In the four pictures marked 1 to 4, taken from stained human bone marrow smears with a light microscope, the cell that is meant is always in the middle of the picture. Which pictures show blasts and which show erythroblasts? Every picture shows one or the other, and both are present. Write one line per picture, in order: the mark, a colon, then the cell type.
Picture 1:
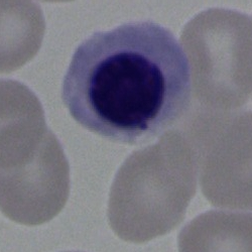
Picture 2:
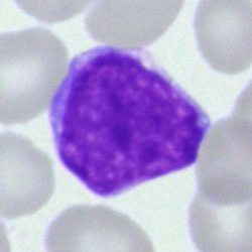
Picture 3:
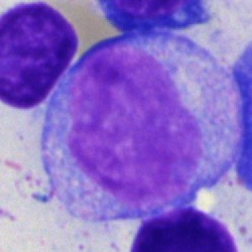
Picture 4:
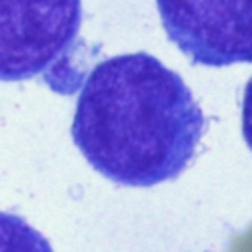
1: erythroblast
2: blast
3: blast
4: blast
